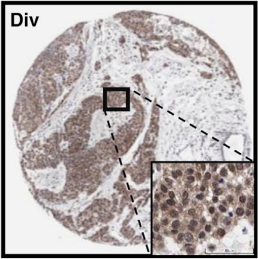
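The tumour cells are stained a moderate brown, clearly darker than the stroma around them. In the inset the individual cells can be made out: round to oval nuclei, many brown with some blue showing through, lie within a lighter brown cytoplasm, and the cells are crowded against one another. The stromal bands contain scattered small, elongated cells and are largely unstained.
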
